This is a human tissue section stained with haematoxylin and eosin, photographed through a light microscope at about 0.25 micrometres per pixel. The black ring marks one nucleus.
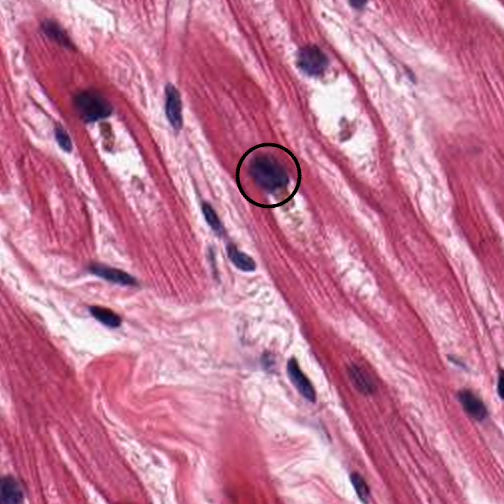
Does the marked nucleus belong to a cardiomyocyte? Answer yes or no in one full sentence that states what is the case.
Yes, to a cardiomyocyte belongs the marked nucleus.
